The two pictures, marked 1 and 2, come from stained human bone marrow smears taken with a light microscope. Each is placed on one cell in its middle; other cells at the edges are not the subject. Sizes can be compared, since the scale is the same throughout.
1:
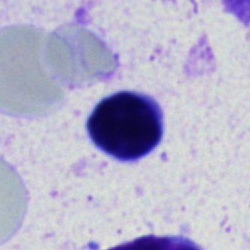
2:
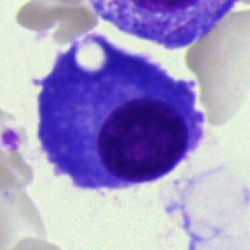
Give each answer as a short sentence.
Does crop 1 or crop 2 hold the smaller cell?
The cell in crop 1 is smaller; the one in crop 2 has about 4 times its area.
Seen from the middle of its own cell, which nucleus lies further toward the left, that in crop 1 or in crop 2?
In crop 1 the nucleus is shifted more toward the left.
